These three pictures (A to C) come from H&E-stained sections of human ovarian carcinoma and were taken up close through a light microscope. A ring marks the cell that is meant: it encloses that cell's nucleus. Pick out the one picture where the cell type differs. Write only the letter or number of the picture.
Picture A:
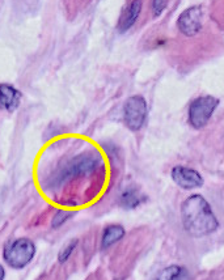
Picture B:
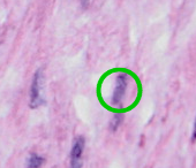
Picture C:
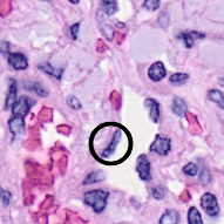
B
